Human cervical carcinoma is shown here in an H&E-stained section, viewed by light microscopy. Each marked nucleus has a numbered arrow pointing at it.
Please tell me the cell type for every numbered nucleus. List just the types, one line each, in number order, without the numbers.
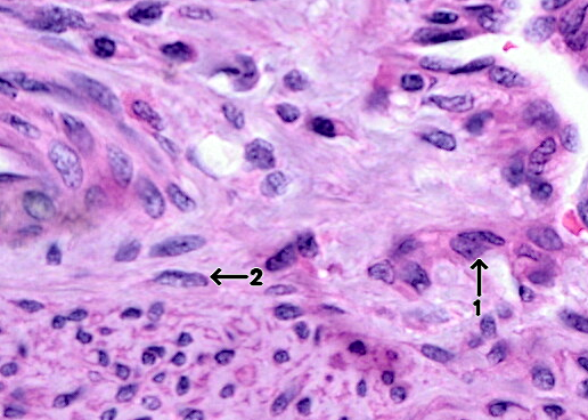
endothelial cell
fibroblast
